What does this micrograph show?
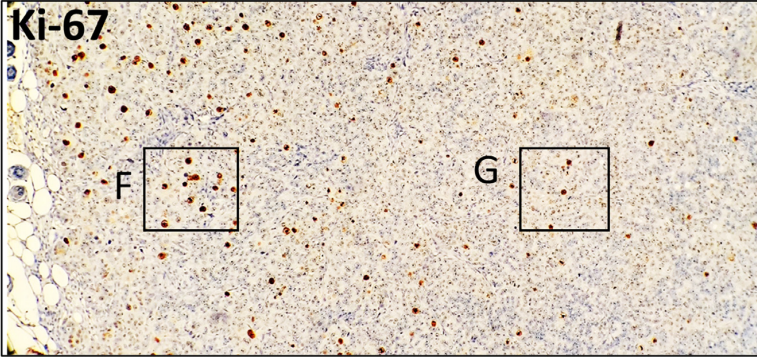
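Scattered tumor cell nuclei are stained dark brown among many pale blue nuclei; the brown nuclei are densest near the border and sparse farther in. Thin strands of fibrous stroma run between the tumor cell sheets.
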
